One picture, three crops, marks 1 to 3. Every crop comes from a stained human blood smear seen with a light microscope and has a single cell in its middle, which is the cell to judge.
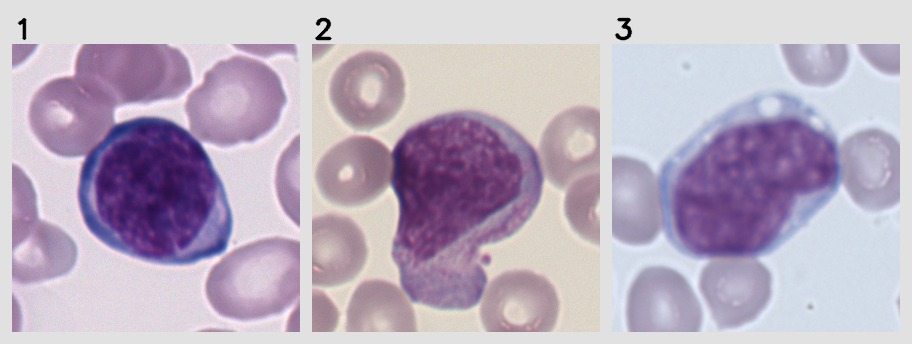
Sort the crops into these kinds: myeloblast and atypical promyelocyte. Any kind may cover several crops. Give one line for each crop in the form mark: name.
1: myeloblast
2: atypical promyelocyte
3: myeloblast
